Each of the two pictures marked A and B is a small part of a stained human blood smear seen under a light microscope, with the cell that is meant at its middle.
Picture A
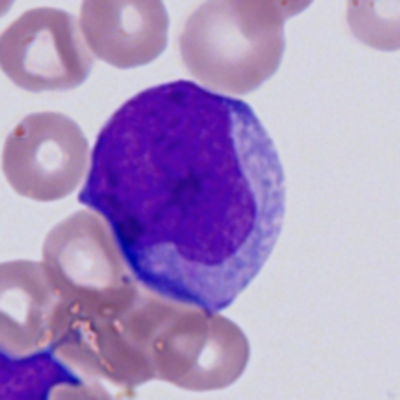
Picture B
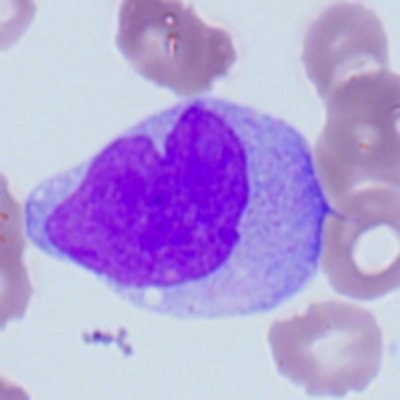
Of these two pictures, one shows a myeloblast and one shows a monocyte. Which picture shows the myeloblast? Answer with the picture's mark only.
A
